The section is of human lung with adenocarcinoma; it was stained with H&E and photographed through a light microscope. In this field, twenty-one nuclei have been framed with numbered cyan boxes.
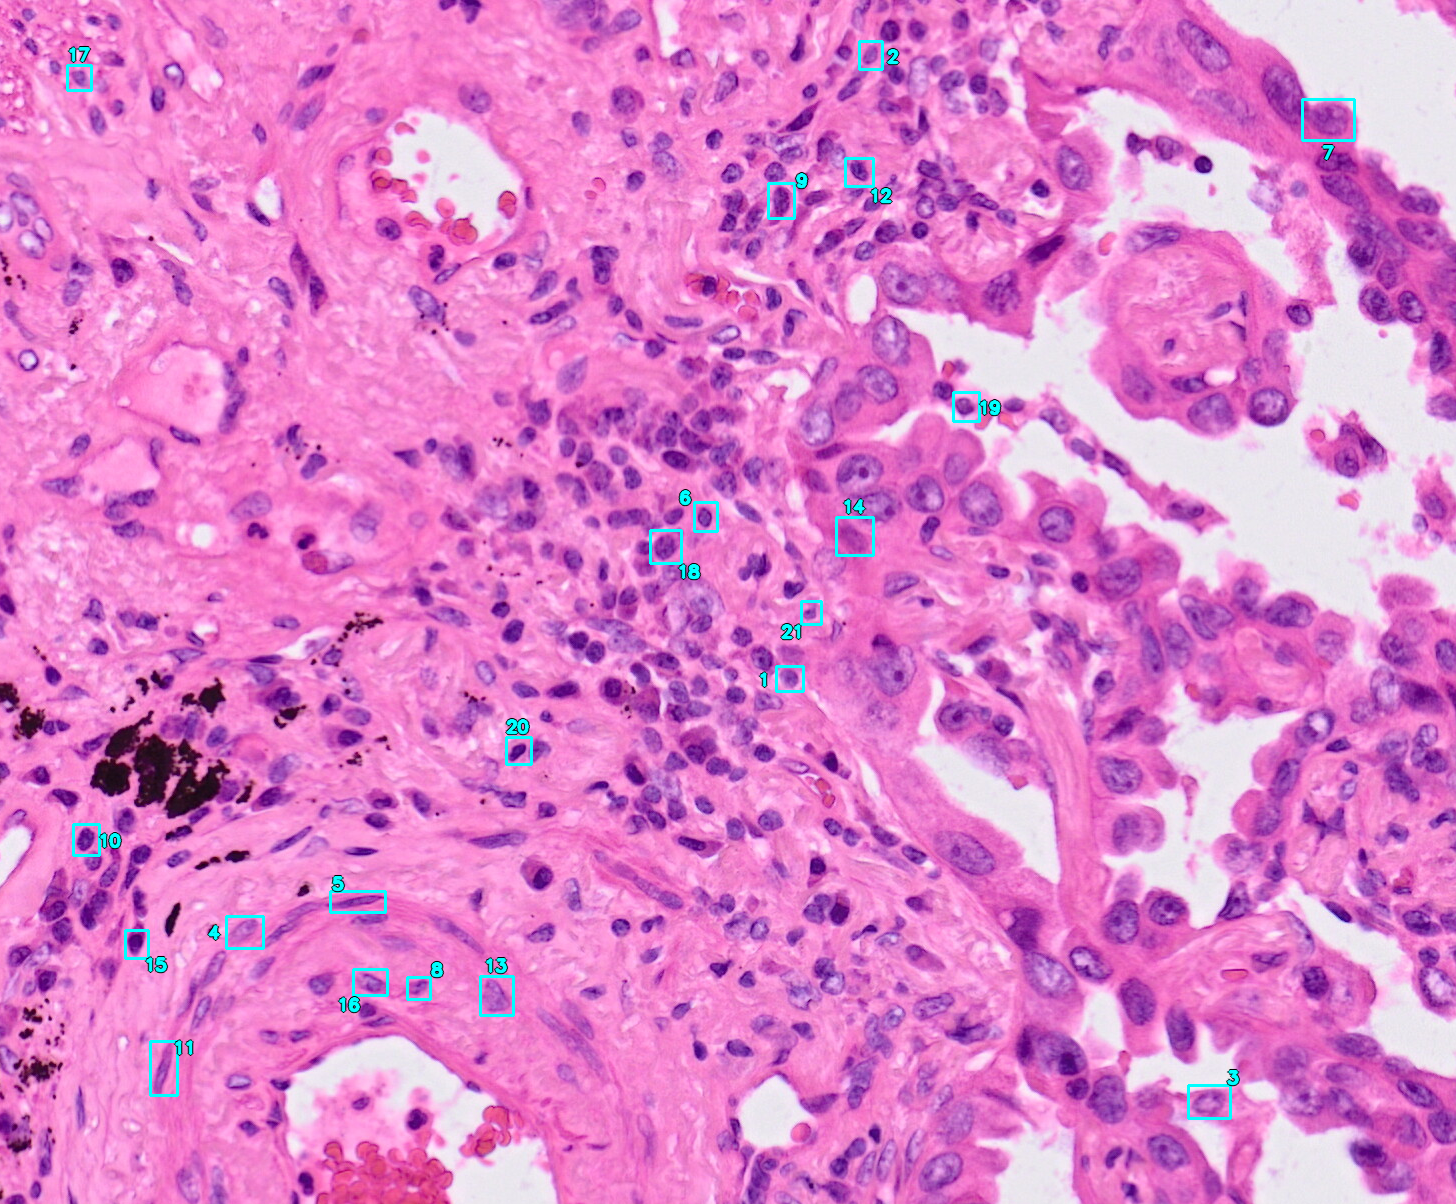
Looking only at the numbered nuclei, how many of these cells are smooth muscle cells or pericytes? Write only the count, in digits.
7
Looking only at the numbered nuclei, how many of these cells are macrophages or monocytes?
1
